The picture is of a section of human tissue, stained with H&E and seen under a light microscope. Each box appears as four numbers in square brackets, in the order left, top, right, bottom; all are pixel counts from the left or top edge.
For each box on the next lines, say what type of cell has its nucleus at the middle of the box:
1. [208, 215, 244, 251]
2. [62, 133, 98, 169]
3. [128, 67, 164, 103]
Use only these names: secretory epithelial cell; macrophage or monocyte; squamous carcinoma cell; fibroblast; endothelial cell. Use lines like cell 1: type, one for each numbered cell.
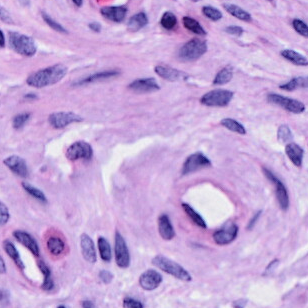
cell 1: endothelial cell
cell 2: macrophage or monocyte
cell 3: fibroblast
